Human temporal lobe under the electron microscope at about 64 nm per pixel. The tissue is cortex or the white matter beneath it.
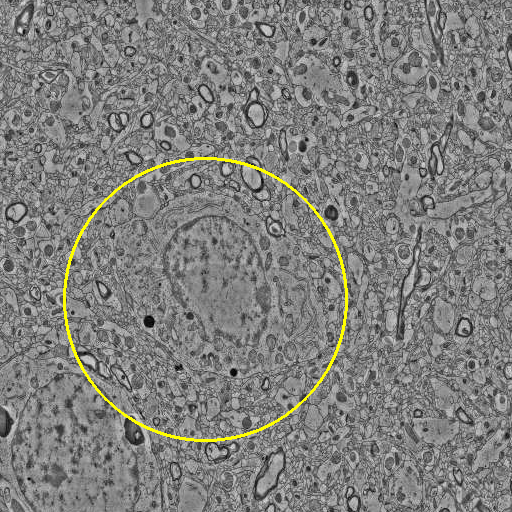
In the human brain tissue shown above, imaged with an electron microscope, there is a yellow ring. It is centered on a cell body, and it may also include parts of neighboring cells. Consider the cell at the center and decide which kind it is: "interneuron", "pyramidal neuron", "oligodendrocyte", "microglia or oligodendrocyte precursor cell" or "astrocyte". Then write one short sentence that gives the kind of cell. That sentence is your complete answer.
This centered cell body is that of an interneuron.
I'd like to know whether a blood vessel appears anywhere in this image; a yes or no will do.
No, no blood vessel shows in the picture.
